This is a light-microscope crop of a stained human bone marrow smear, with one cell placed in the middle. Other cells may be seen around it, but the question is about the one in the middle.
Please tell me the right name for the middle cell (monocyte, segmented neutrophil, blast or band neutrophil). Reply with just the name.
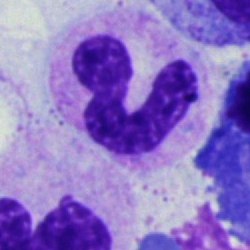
band neutrophil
